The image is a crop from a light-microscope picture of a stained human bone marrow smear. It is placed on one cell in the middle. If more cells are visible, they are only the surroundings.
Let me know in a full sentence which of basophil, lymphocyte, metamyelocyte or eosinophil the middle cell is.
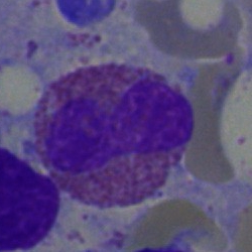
The cell centred in this crop is categorized as an eosinophil.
